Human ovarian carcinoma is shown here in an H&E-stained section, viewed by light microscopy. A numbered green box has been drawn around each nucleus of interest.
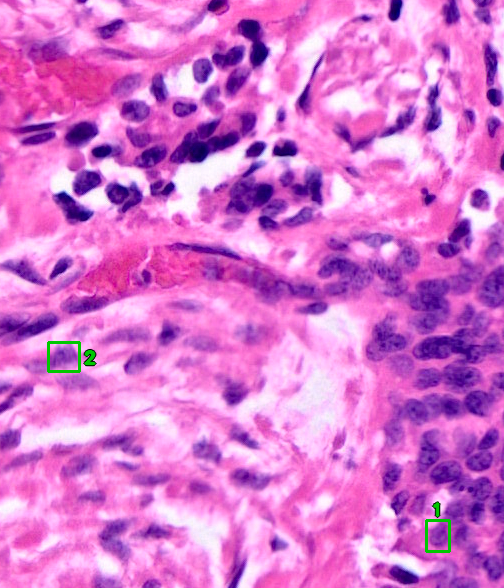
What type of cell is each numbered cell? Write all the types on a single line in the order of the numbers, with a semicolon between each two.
carcinoma cell; fibroblast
